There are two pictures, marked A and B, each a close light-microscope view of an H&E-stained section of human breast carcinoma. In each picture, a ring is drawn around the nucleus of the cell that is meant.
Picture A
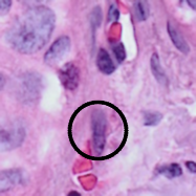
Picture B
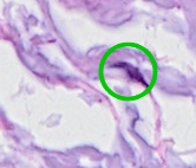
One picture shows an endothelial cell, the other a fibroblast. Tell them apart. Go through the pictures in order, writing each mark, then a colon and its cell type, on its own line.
A: endothelial cell
B: fibroblast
